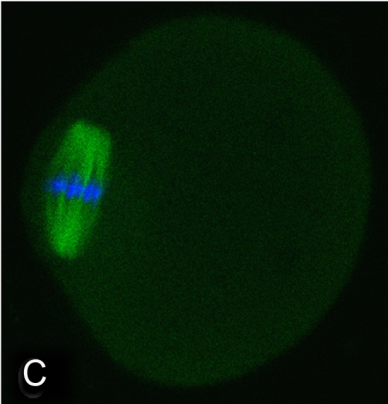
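This is a large round oocyte with a meiotic spindle lying close to its surface. The spindle is barrel-shaped, made of fine green fibres, and is oriented with its long axis roughly along the cell edge. Blue chromosomes form a narrow band across the middle of the spindle, aligned in a single plate. The rest of the cytoplasm shows only a faint, even green haze. No nucleus with an envelope and no second group of chromosomes is visible.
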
